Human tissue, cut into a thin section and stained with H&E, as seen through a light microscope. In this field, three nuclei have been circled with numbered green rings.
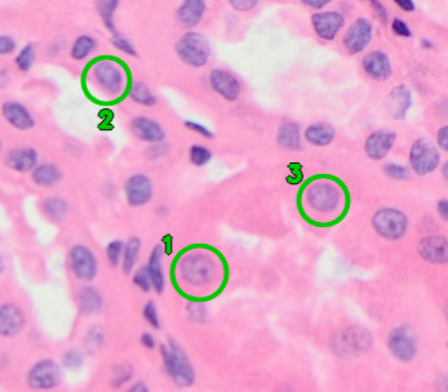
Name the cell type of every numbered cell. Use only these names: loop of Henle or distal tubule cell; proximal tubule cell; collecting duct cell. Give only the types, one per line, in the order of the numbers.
proximal tubule cell
collecting duct cell
proximal tubule cell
